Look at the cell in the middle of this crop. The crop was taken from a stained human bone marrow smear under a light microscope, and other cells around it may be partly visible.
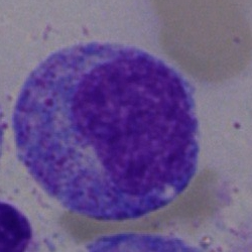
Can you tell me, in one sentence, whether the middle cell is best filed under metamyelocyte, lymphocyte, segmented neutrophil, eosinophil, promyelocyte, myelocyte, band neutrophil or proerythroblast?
This crop is built around a promyelocyte at its centre.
